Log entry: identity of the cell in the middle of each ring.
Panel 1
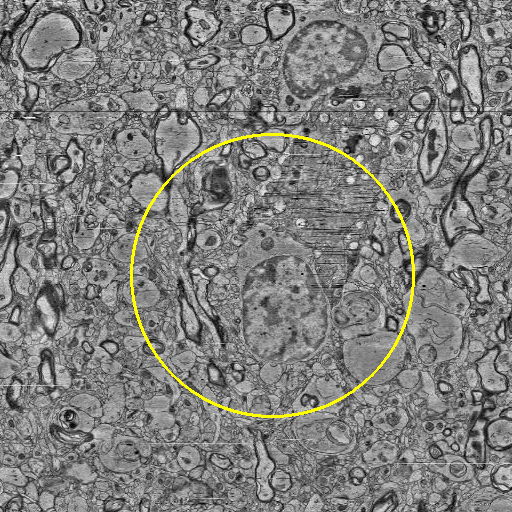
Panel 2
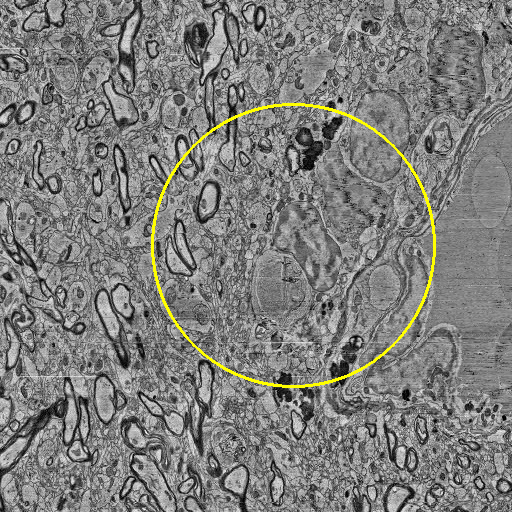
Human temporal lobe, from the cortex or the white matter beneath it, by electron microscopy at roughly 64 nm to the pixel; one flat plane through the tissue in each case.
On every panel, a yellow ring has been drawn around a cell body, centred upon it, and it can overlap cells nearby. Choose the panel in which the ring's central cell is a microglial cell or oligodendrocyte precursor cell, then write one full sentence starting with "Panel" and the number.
Panel 2 shows the requested cell sitting in the middle of its ring.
